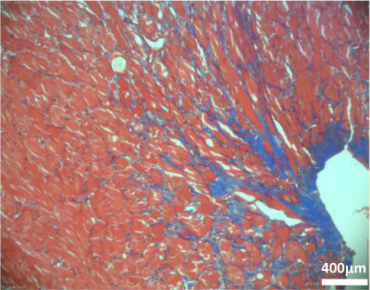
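This trichrome-stained section of heart muscle shows red-stained cardiomyocytes with blue-stained fibrous tissue between them. The muscle fibres run in bundles, some cut lengthwise and some obliquely or in cross-section. Blue collagenous material extends in streaks through the spaces between fibres. It is densest around a large, empty vessel lumen at the right edge, from which it radiates into the surrounding muscle. A smaller round empty lumen lies near the top.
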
